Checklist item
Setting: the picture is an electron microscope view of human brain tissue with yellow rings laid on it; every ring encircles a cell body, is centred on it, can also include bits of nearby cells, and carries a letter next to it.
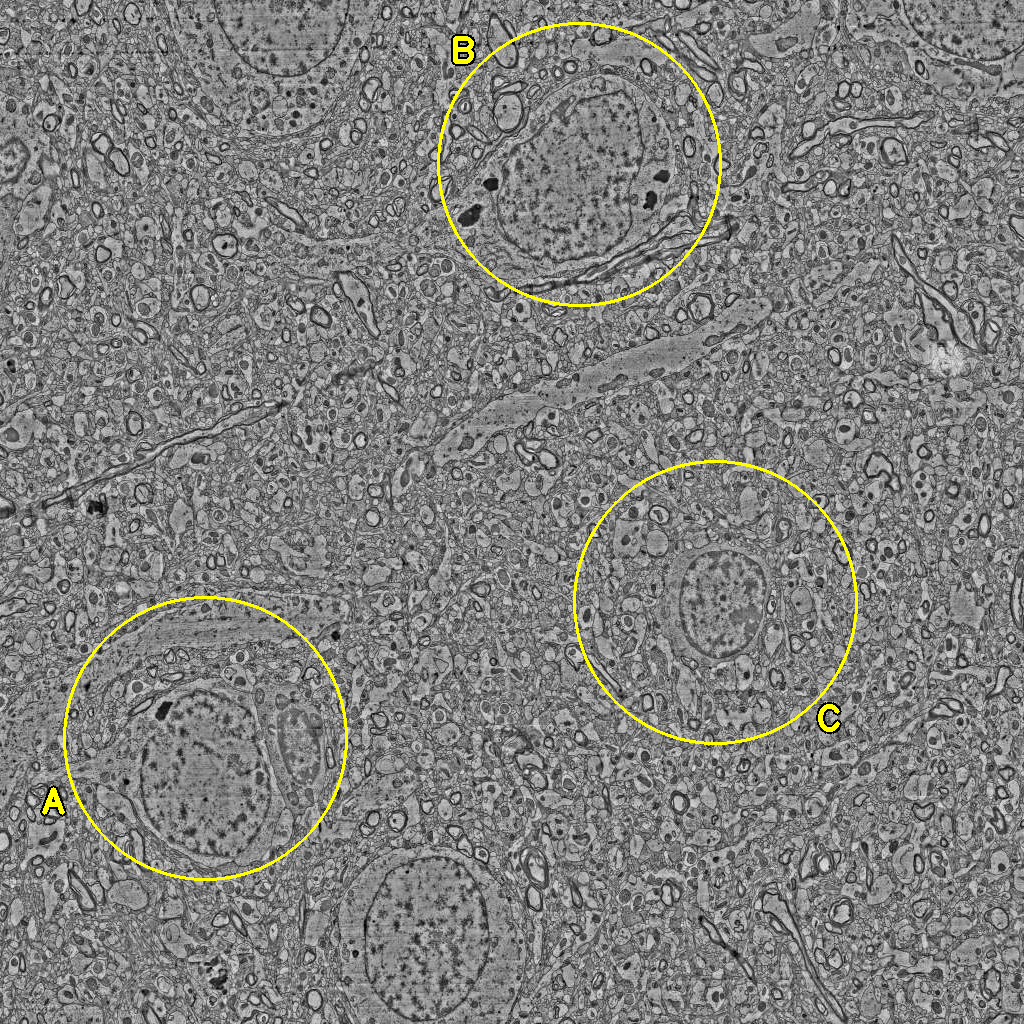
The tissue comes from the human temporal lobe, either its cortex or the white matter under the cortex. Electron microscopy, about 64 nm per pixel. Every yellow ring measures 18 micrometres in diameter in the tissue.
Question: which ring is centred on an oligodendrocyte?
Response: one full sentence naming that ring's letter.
My response is that ring C has the sought cell at its centre.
